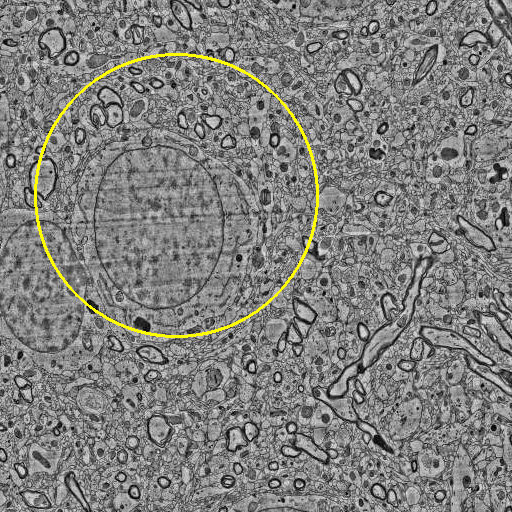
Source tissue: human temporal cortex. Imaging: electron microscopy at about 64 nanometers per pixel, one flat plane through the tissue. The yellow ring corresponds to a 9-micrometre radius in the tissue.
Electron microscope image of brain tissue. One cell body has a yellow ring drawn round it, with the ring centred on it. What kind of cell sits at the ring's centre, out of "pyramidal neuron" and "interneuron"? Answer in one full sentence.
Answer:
It is a pyramidal neuron whose cell body sits at the centre of the yellow ring.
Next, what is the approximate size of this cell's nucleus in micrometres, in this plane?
The nucleus is approximately 10 micrometers long by 9 micrometers wide in this plane.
